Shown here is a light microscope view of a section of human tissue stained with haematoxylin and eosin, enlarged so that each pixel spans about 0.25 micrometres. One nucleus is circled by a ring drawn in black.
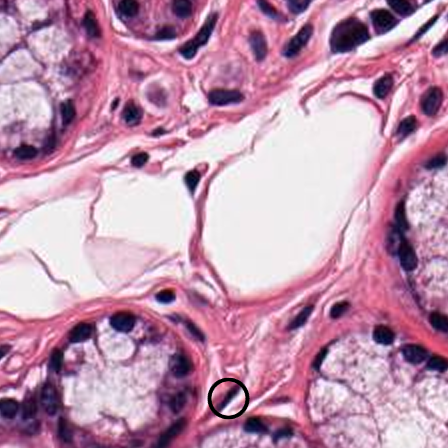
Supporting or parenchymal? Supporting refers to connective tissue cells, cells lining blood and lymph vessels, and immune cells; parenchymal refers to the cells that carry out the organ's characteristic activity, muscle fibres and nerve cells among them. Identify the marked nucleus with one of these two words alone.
supporting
